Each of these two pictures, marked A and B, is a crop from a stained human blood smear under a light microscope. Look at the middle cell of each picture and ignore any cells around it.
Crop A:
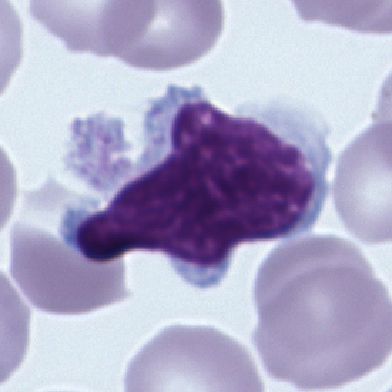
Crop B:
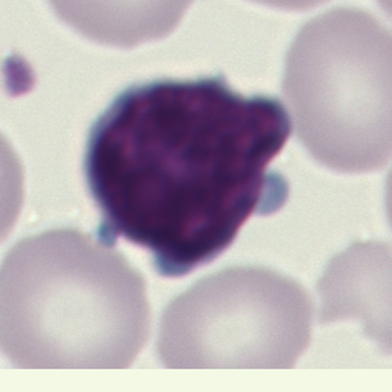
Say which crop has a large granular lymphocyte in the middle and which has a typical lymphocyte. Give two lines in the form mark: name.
A: large granular lymphocyte
B: typical lymphocyte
